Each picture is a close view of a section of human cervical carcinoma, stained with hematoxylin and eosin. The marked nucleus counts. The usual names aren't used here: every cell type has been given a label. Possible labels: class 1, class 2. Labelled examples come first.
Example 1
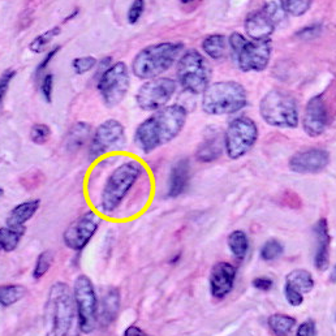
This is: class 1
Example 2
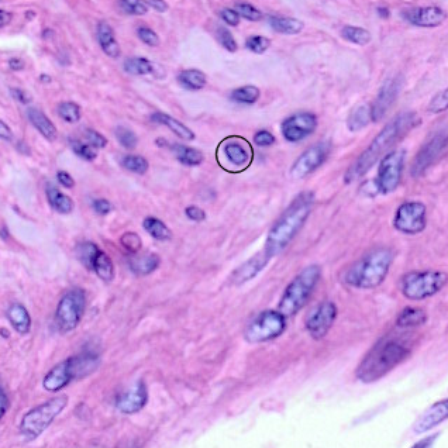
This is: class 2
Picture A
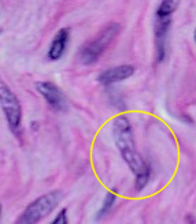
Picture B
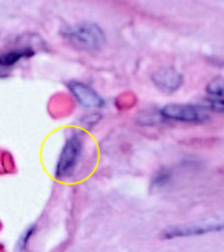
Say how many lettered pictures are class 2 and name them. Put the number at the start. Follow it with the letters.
1: A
